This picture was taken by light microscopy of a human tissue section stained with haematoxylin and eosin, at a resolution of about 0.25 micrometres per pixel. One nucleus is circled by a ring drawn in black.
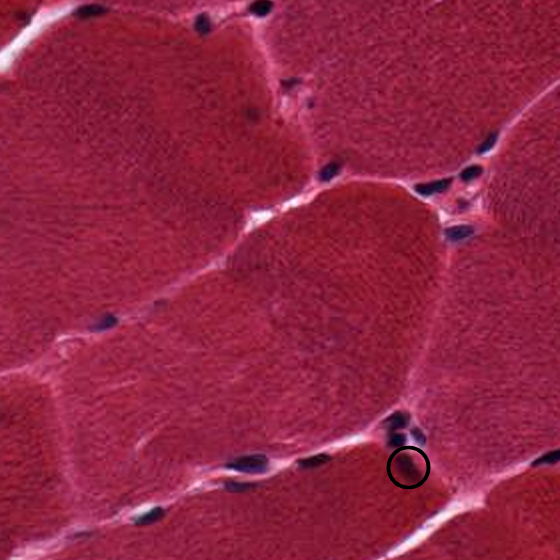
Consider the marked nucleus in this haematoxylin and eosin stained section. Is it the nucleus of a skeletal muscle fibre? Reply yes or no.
yes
